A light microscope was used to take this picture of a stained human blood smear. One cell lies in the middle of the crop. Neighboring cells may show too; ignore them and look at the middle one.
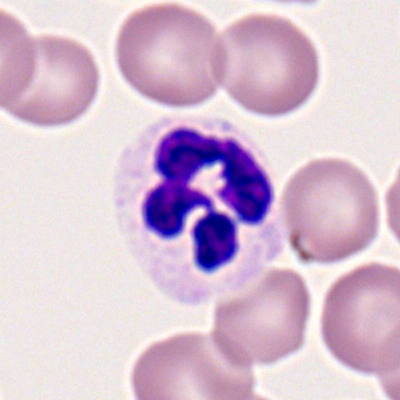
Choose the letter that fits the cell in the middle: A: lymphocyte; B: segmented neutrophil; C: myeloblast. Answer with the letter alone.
B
